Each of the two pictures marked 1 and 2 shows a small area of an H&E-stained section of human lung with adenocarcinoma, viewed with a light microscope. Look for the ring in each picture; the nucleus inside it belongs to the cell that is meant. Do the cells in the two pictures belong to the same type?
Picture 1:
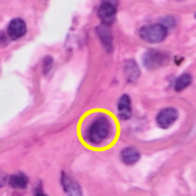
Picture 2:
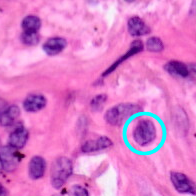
no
